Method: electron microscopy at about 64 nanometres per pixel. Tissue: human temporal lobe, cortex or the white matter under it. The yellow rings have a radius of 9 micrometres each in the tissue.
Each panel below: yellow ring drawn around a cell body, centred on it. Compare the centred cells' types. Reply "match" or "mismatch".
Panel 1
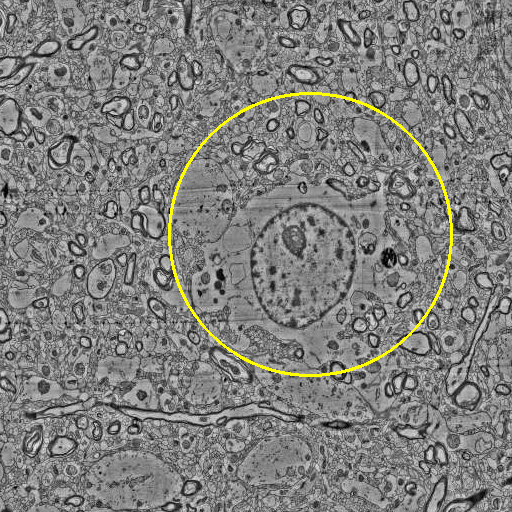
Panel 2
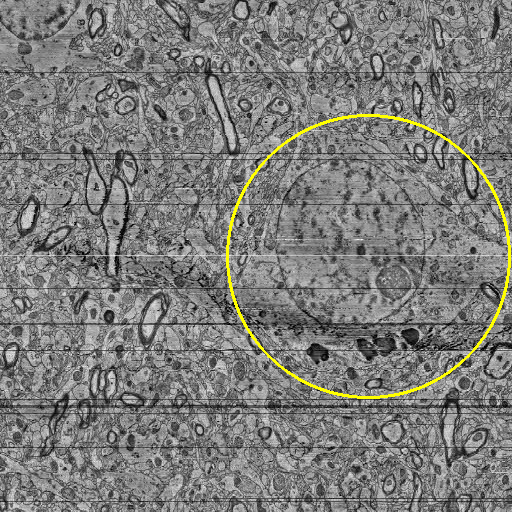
mismatch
